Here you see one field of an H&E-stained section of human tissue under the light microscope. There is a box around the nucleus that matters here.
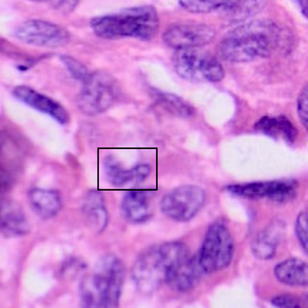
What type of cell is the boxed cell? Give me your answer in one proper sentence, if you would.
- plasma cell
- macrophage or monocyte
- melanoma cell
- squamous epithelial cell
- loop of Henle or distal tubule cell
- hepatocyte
Just put down that the boxed cell is a melanoma cell.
